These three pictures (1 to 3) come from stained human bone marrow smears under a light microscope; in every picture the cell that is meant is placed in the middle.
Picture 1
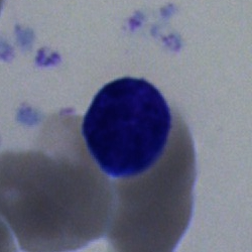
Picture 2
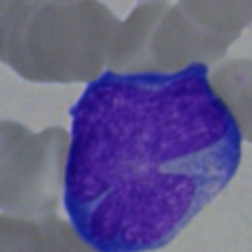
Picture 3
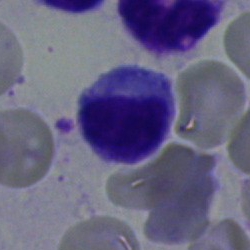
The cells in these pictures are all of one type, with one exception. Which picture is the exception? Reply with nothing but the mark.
2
